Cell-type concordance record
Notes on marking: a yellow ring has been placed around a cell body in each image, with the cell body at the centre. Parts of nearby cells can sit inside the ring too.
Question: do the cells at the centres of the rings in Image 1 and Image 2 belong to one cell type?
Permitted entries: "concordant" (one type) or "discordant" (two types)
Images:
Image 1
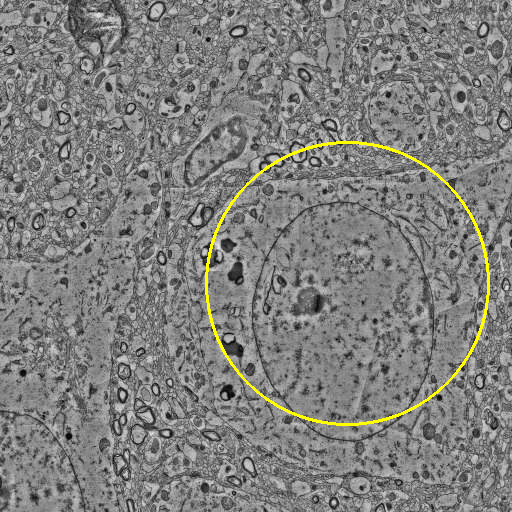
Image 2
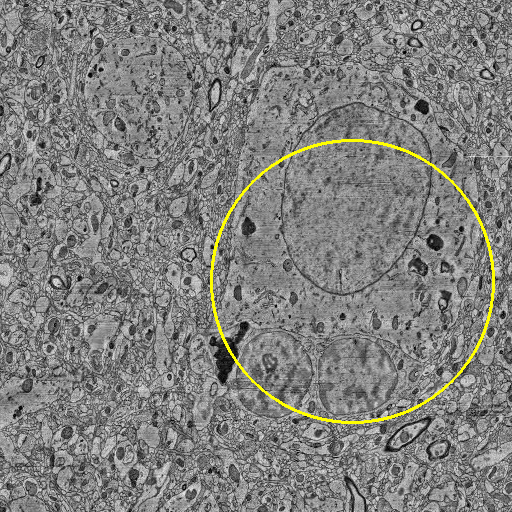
concordant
